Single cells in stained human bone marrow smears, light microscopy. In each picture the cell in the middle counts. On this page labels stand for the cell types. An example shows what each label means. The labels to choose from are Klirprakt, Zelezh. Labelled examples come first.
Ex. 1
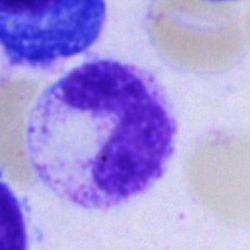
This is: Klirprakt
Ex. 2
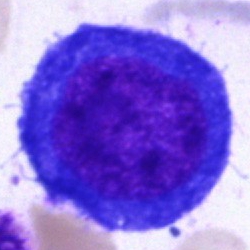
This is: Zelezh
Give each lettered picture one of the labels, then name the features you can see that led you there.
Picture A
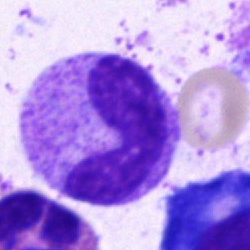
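Answer: Klirprakt. The cytoplasm is abundant and pale lilac.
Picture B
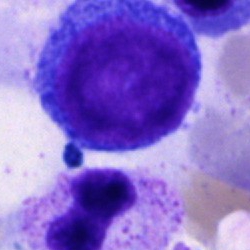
Answer: Zelezh. The chromatin looks finely textured rather than coarsely clumped.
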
